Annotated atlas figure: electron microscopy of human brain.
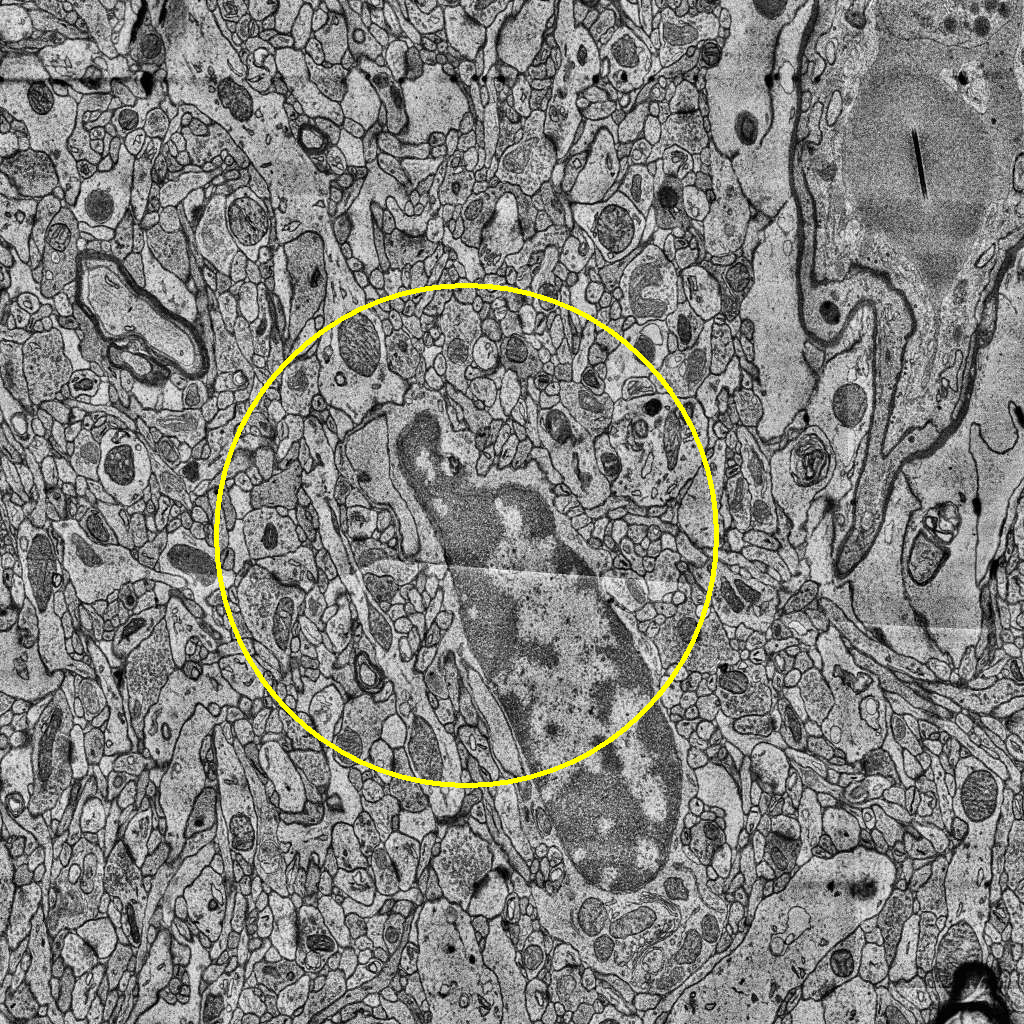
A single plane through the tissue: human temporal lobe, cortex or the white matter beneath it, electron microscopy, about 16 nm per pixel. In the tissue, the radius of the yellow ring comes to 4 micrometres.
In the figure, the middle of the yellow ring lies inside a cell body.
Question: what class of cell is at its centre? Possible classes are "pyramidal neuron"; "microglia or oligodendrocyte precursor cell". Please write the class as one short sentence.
The yellow ring's centre lies in a microglial cell or oligodendrocyte precursor cell.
